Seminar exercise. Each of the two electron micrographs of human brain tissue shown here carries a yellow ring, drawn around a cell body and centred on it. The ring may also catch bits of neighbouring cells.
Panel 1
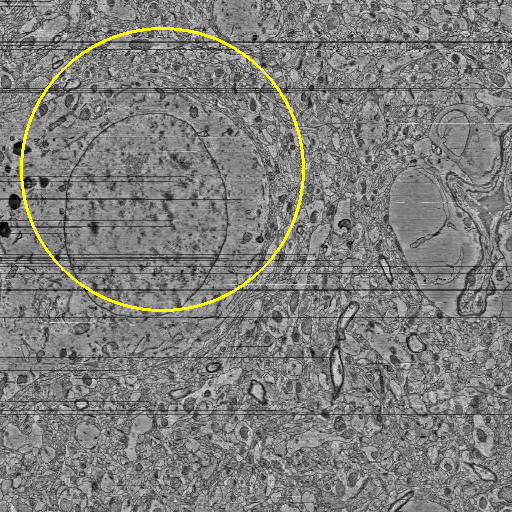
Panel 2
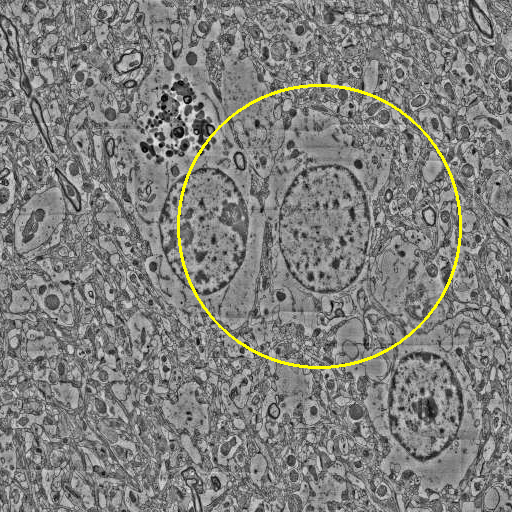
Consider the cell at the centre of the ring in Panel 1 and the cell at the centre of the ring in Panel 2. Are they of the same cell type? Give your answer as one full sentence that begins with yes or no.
No, the two cells are of two types.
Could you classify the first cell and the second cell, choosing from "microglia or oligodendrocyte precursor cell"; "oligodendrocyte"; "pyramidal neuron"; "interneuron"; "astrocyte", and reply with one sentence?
The second cell is an astrocyte, while the first is a pyramidal neuron.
